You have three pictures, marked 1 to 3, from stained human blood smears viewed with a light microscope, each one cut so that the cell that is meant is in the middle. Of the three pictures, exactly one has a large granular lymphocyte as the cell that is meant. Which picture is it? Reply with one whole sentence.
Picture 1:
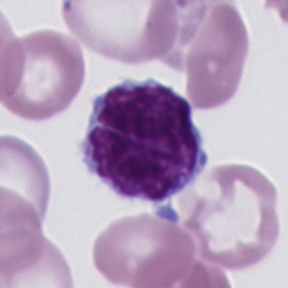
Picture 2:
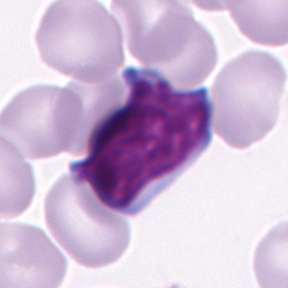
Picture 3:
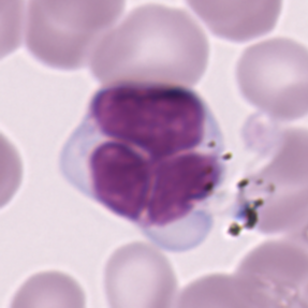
Picture 3 shows the large granular lymphocyte.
